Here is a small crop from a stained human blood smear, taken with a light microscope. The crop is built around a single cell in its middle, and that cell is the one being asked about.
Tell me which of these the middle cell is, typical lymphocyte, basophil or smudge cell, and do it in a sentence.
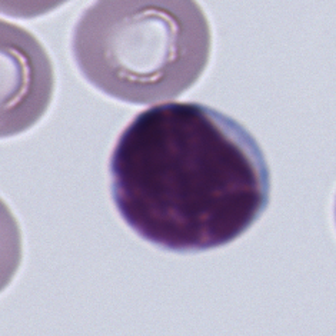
The cell centred in this crop is categorized as a typical lymphocyte.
